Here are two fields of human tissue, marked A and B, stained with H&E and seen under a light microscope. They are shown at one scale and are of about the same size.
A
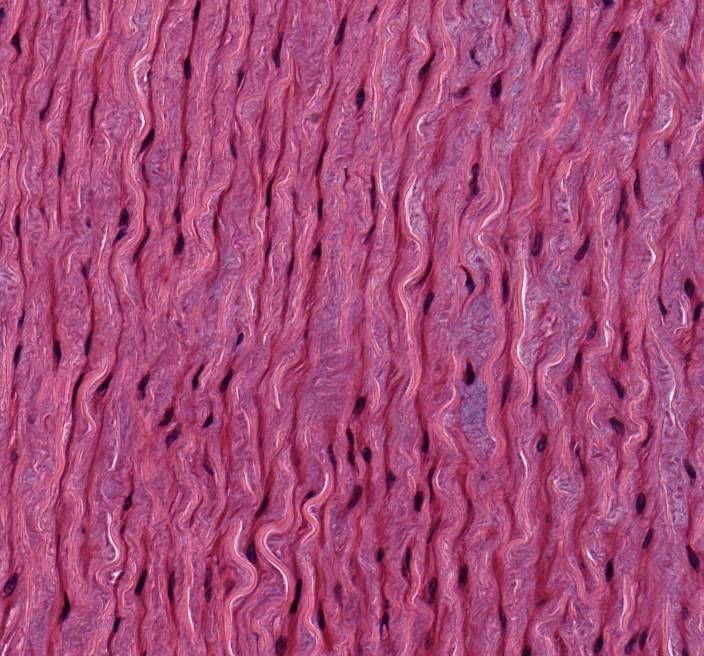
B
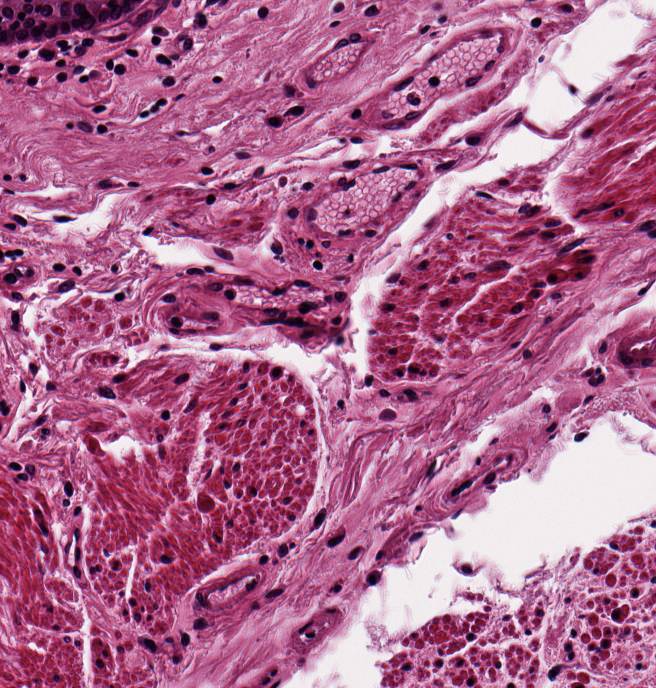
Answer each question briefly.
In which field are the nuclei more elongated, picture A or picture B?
A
